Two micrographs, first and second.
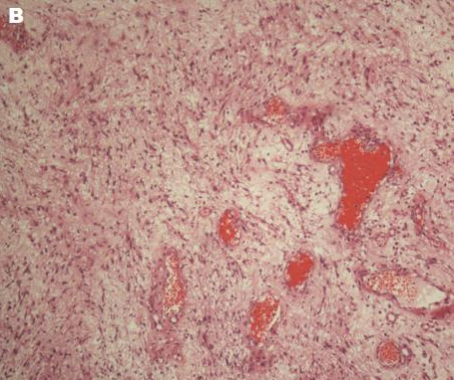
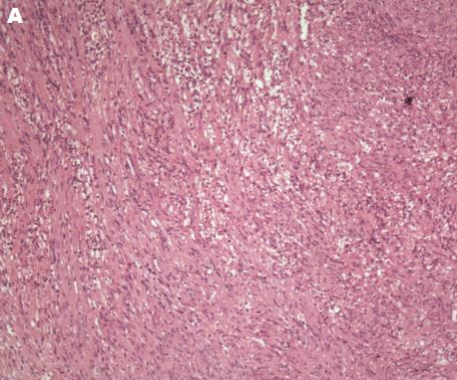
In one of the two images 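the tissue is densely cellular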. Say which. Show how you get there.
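First image: sparse spindle nuclei scattered in a pale loose matrix with vessels. Second image: closely packed spindle nuclei in fascicles filling the field. So: the second image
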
